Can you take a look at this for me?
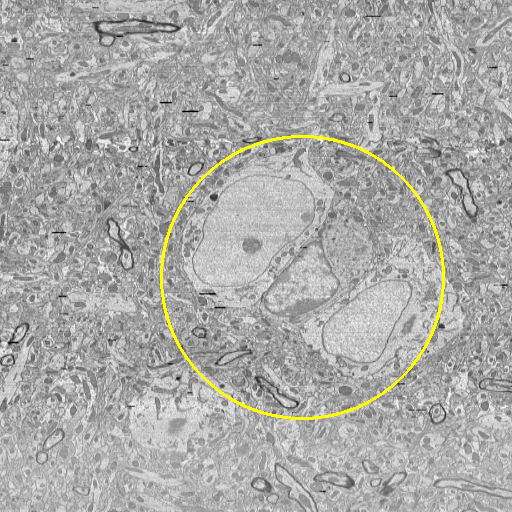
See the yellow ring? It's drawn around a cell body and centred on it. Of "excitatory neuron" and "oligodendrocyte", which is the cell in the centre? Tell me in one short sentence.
The one in the centre is an oligodendrocyte.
